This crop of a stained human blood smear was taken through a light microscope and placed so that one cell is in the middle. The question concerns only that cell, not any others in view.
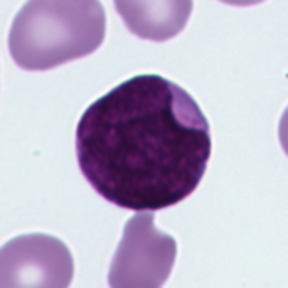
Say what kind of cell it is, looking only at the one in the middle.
myeloblast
